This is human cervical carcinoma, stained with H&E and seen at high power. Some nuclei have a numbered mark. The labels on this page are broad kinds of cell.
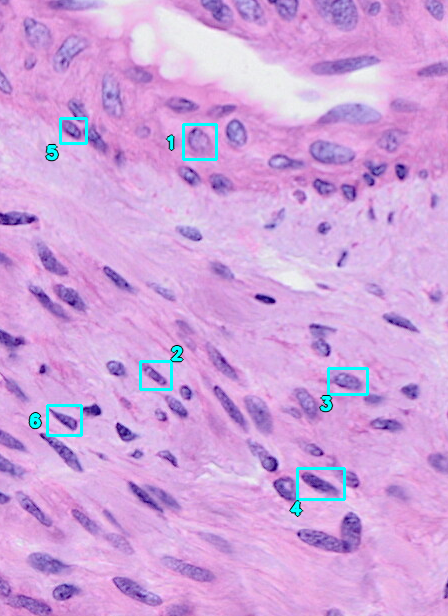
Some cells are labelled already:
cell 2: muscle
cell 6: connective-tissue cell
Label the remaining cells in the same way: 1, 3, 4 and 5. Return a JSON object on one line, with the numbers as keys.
{"1": "muscle", "3": "muscle", "4": "connective-tissue cell", "5": "muscle"}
